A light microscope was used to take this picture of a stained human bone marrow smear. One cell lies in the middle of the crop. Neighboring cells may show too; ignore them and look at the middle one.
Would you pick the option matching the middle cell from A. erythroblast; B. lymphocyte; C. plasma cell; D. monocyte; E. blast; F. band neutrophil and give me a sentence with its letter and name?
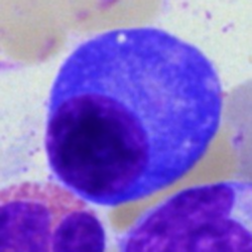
The central cell is a plasma cell, which makes option C the right answer.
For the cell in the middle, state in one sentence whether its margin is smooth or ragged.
In short, the margin is smooth with no projections at all.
